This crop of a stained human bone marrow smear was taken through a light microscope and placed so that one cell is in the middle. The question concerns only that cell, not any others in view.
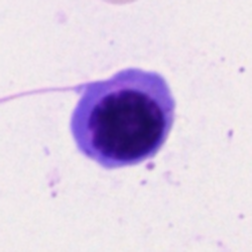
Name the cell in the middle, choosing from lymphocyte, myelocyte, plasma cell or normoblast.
normoblast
